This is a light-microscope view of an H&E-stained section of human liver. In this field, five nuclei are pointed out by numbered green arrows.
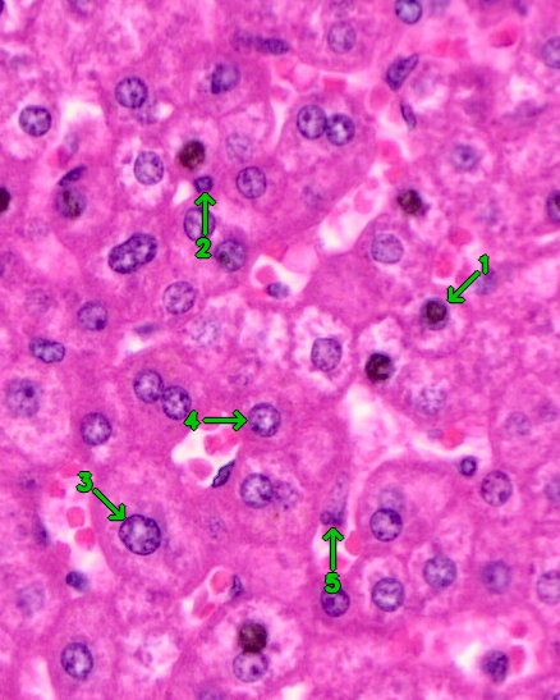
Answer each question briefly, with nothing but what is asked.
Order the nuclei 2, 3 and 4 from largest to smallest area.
3, 4, 2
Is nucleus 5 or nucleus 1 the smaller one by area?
5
